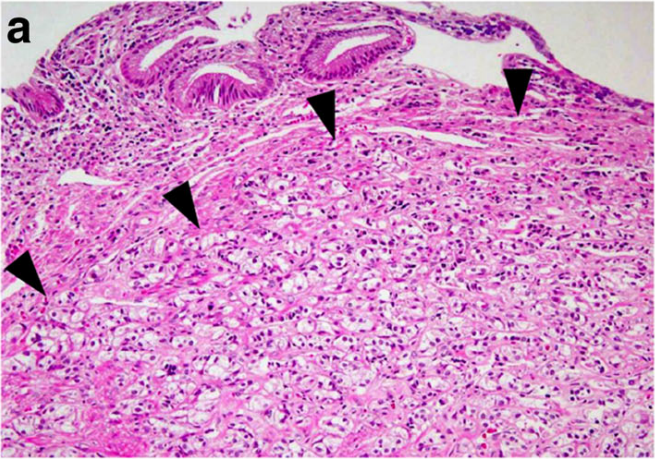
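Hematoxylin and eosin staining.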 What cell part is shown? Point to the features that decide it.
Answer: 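The cells in the clusters have abundant pale, nearly empty-looking cytoplasm. Their small dark nuclei sit within wide clear cell bodies. That points to this answer: rich clear cytoplasm.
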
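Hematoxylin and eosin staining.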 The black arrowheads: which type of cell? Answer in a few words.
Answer: Tumor cells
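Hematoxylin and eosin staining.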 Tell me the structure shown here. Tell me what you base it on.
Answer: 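Nests or trabecular growth. Pale cells are grouped in small clusters and cords separated by thin pink strands. The clusters form a repeating pattern across the lower part of the field.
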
